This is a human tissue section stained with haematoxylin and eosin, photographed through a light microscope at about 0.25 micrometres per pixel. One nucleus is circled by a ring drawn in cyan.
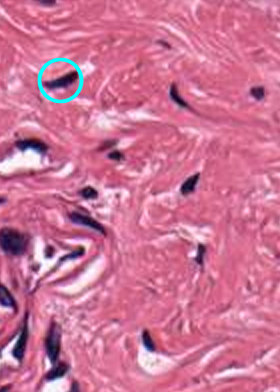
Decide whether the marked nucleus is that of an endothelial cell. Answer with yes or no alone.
no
